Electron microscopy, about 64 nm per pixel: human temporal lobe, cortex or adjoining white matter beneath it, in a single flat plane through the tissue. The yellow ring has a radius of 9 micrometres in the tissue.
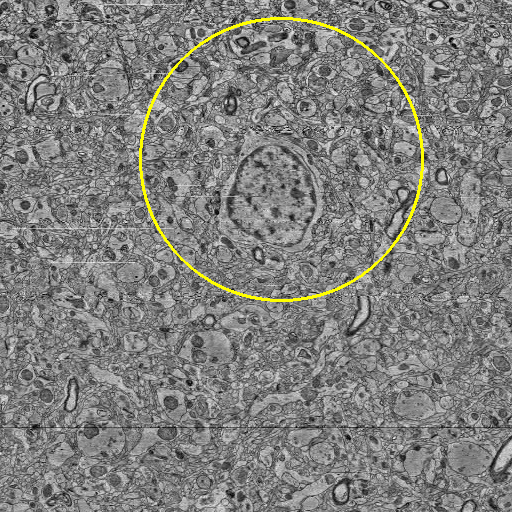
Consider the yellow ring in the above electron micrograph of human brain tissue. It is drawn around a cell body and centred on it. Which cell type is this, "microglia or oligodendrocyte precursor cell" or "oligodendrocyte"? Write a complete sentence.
The cell in question is a microglial cell or oligodendrocyte precursor cell.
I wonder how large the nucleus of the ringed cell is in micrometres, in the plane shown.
The ringed cell's nucleus measures approximately 7 by 6 micrometres in this plane.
